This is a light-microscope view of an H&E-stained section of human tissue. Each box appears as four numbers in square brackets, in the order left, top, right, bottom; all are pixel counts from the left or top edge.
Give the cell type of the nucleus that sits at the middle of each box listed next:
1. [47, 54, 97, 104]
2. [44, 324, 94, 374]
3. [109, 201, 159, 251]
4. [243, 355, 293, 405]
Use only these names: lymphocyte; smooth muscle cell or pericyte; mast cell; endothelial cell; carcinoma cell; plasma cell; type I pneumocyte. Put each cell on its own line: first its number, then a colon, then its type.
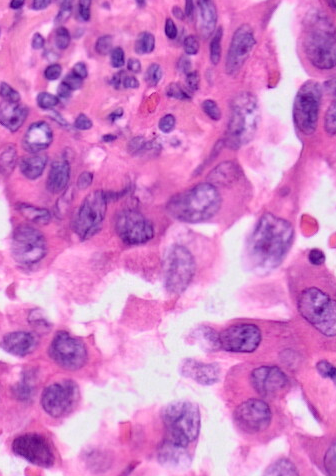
1: lymphocyte
2: carcinoma cell
3: carcinoma cell
4: carcinoma cell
